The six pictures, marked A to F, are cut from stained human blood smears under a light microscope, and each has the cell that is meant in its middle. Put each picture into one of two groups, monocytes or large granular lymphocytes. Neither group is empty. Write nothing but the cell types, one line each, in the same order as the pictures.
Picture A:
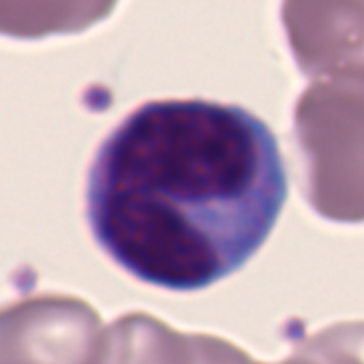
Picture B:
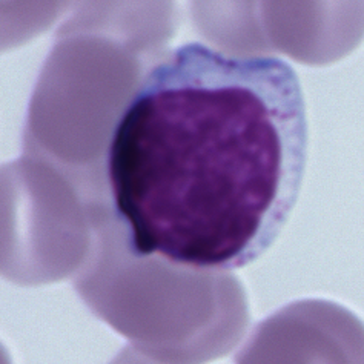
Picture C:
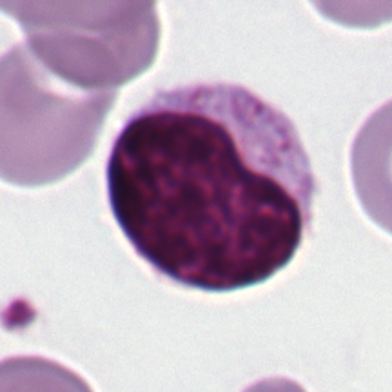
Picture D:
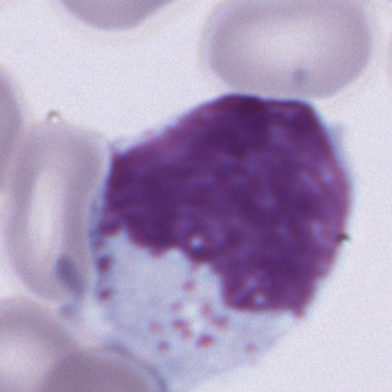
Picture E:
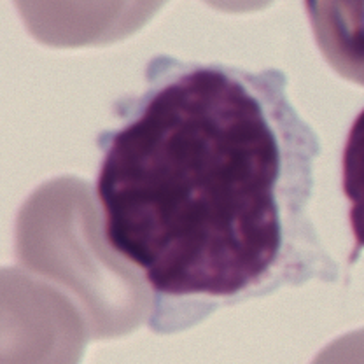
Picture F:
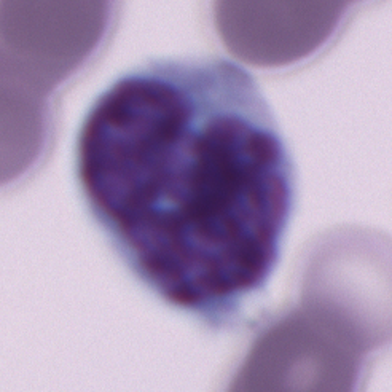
monocyte
large granular lymphocyte
large granular lymphocyte
large granular lymphocyte
large granular lymphocyte
monocyte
